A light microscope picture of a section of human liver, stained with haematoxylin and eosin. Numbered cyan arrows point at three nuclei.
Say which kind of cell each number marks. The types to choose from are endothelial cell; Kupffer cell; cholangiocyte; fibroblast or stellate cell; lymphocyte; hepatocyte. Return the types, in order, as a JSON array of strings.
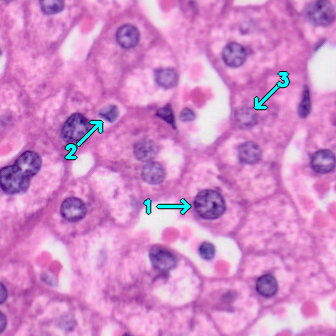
["hepatocyte", "endothelial cell", "hepatocyte"]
